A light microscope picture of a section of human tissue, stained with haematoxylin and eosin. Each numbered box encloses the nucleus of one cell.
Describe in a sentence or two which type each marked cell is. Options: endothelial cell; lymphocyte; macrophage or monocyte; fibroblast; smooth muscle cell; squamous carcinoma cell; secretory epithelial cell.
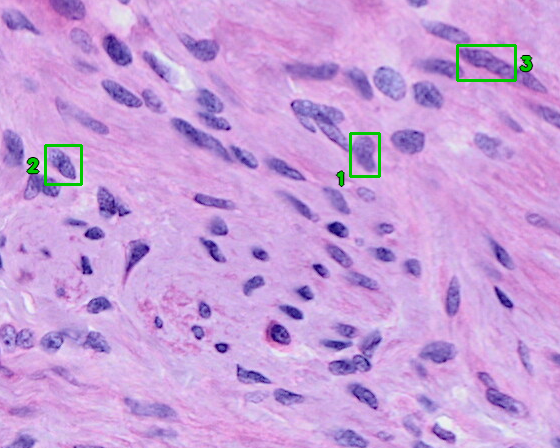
Cells 1 and 2 are fibroblasts. Cell 3 is a smooth muscle cell.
